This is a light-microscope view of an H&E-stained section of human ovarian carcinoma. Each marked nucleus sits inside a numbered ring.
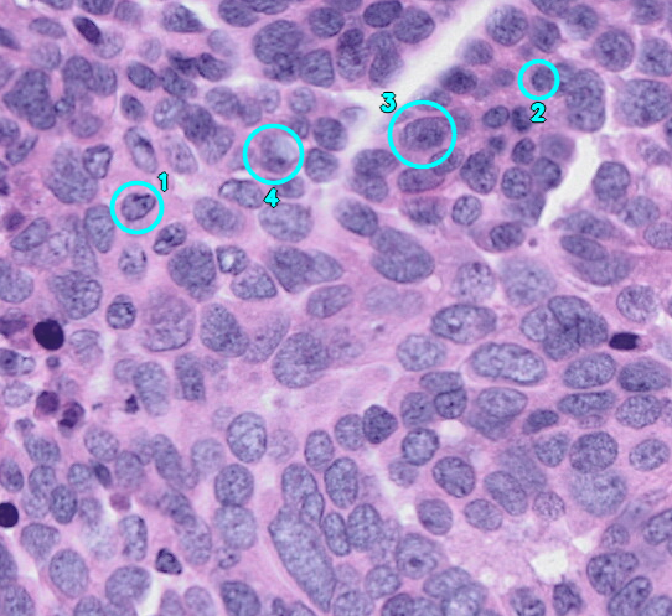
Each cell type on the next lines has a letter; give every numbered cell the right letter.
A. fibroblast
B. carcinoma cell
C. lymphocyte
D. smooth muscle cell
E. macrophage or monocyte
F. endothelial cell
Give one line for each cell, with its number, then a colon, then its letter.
1: E
2: B
3: B
4: B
